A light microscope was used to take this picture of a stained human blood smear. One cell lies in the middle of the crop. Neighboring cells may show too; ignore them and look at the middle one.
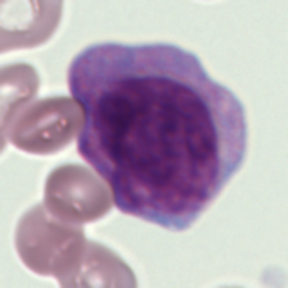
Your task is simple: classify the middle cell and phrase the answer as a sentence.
The cell of interest, in the center, is an atypical promyelocyte.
